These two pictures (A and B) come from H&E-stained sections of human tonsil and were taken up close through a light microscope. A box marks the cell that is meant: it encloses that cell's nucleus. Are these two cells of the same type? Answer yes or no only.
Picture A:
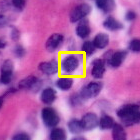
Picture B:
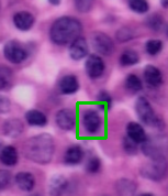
no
